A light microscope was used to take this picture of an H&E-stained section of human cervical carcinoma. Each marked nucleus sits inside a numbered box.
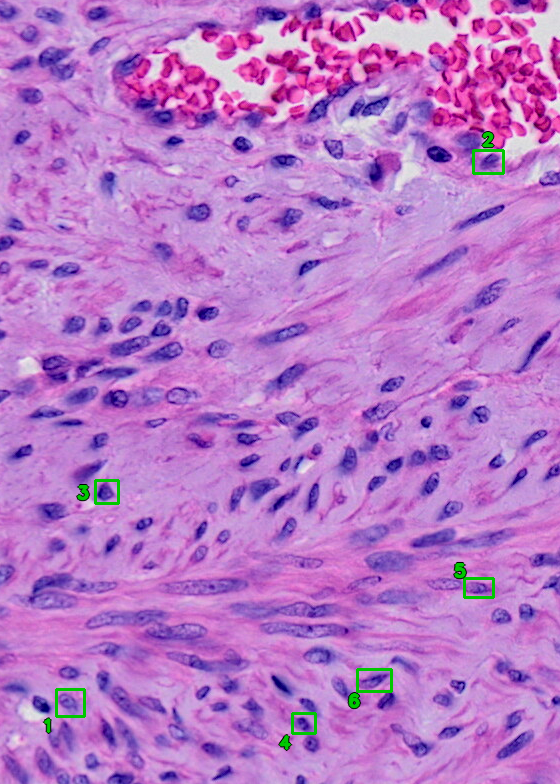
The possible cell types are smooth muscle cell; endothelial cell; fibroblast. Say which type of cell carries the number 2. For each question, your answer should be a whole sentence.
The marked cell with the number 2 is recognised as an endothelial cell.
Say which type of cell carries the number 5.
Here the cell numbered 5 is a smooth muscle cell.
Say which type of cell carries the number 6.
The cell to which the number 6 is assigned is a smooth muscle cell.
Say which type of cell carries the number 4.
To a smooth muscle cell belongs the nucleus marked 4.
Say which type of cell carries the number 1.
That cell with number 1 is a smooth muscle cell.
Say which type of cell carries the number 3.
The cell referred to as 3 is a fibroblast.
